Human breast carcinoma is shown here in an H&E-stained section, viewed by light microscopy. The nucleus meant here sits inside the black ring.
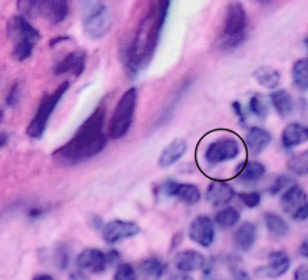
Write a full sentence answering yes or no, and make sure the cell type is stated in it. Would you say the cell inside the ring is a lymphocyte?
Yes, the claim that the cell inside the ring is a lymphocyte holds true.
